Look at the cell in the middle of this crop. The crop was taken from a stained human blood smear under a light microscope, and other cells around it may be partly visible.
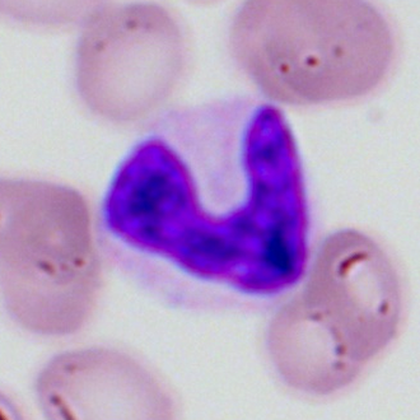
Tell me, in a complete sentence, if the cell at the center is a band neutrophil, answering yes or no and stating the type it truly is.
Yes, the cell right in the middle is a band neutrophil.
